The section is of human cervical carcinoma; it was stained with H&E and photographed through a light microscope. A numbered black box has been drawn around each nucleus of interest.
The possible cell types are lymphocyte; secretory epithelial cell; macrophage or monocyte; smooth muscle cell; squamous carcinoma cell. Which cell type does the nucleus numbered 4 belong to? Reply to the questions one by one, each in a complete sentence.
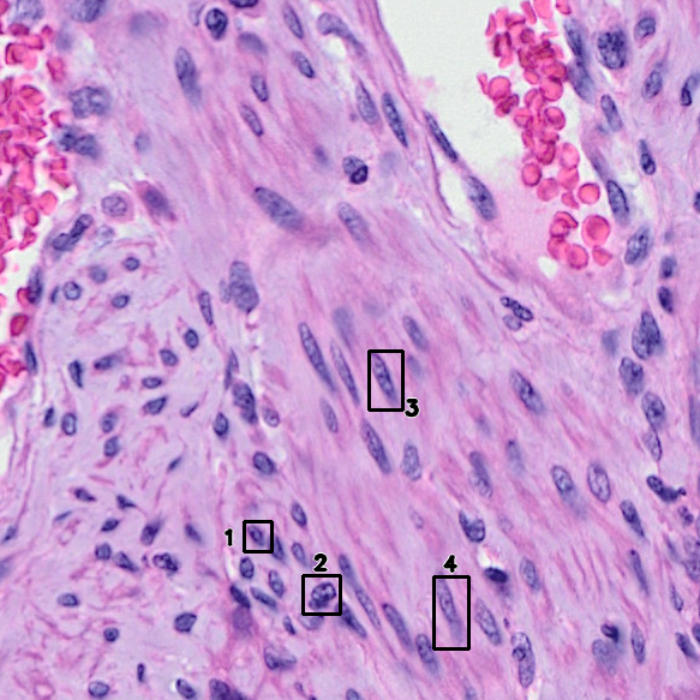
Cell 4, among those numbered, is a smooth muscle cell.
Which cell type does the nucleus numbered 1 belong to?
Recognised here as a smooth muscle cell is the cell numbered 1.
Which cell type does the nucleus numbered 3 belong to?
What the number 3 marks in this field is a smooth muscle cell.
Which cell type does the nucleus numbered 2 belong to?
Looking at the numbered marks, cell 2 is a lymphocyte.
